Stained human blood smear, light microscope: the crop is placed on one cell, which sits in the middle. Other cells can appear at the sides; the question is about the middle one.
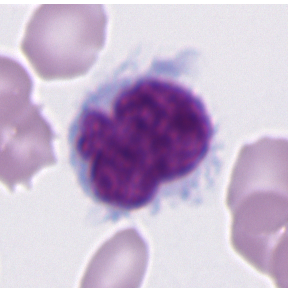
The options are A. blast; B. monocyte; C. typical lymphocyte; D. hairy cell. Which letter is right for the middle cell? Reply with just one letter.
D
